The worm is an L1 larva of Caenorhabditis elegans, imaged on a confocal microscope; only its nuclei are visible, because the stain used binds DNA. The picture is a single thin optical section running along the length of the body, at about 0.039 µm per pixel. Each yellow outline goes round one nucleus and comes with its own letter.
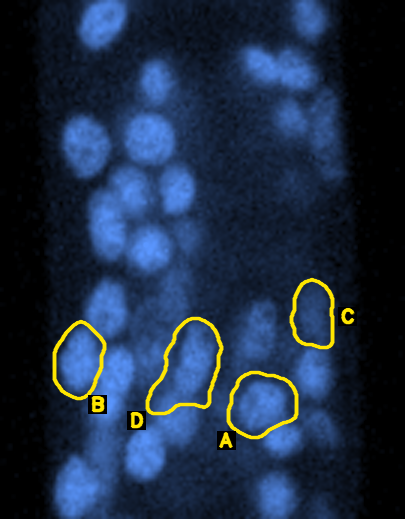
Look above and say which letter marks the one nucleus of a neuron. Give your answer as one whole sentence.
The nucleus of a neuron is B.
